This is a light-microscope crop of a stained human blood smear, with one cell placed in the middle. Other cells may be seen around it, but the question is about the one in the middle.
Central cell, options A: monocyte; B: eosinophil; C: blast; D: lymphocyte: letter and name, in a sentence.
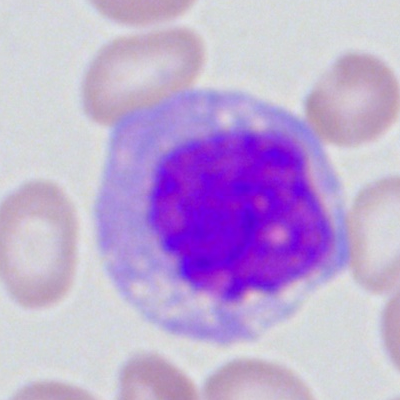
At the centre of the crop lies a monocyte, which makes option A correct.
